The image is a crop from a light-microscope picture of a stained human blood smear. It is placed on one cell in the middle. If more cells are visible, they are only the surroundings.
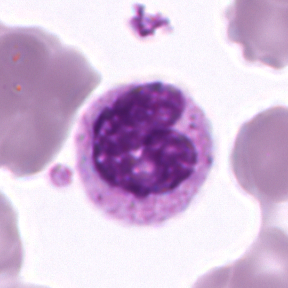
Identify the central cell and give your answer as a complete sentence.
As for the cell in the middle, it is a band neutrophil.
